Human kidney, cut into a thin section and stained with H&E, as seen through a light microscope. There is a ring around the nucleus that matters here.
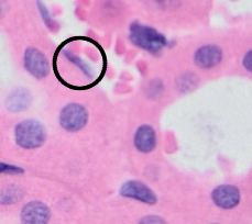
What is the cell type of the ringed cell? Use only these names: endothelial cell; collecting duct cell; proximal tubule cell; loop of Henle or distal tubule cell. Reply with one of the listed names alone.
endothelial cell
